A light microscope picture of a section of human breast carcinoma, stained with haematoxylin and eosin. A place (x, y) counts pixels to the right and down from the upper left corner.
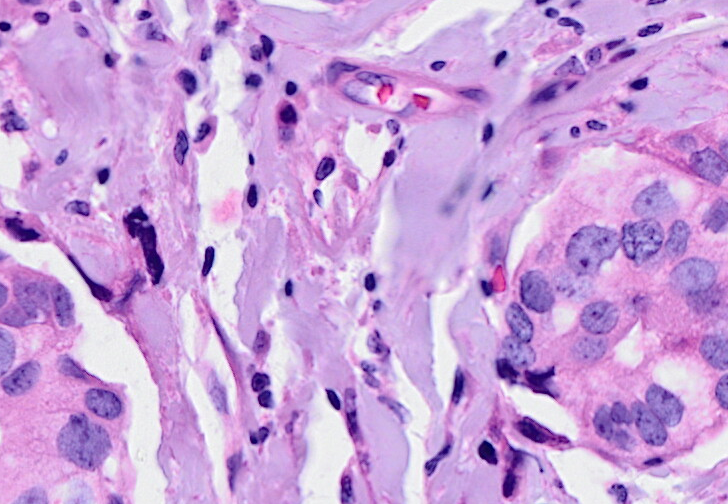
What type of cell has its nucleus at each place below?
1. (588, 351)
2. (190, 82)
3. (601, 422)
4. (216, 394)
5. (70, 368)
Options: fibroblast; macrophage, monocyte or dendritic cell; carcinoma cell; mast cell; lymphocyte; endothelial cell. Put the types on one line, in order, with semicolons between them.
carcinoma cell; lymphocyte; carcinoma cell; fibroblast; carcinoma cell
